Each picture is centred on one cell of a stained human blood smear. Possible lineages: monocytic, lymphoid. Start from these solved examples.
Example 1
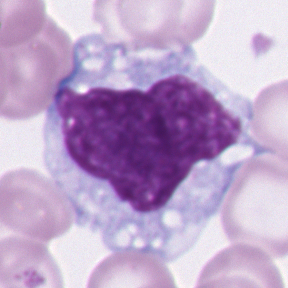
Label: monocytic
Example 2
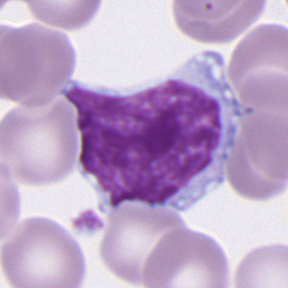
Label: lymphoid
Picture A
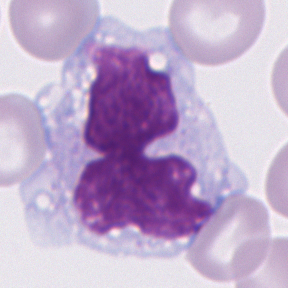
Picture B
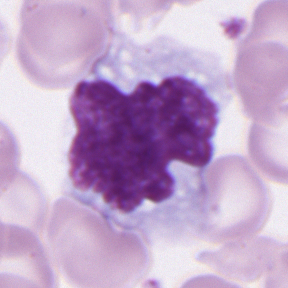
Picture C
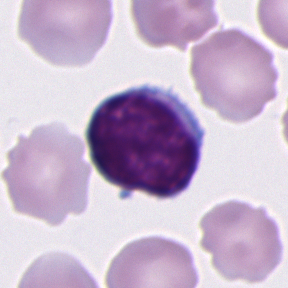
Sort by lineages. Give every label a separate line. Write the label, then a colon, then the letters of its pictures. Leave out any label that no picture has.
monocytic: A, B
lymphoid: C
